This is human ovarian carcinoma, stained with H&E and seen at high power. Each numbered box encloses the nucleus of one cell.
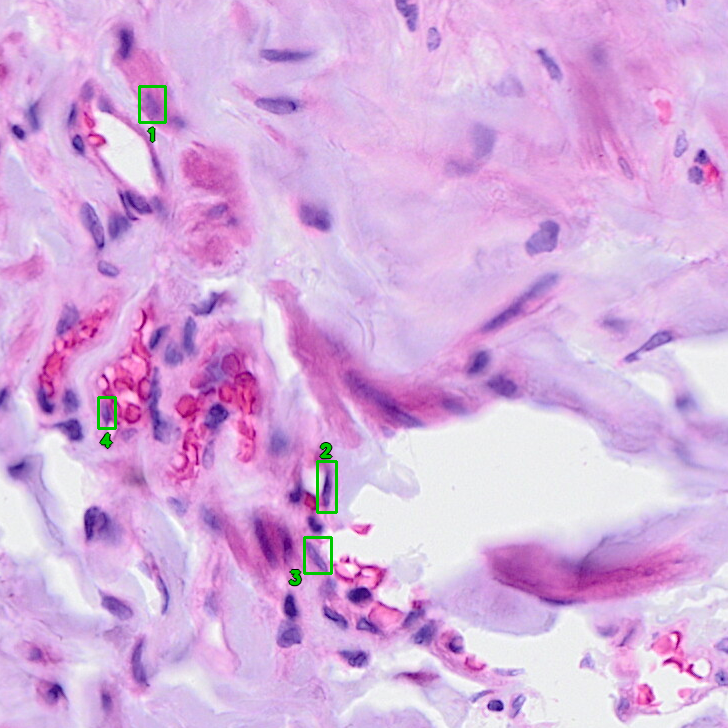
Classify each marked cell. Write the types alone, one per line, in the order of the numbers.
smooth muscle cell
endothelial cell
endothelial cell
endothelial cell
